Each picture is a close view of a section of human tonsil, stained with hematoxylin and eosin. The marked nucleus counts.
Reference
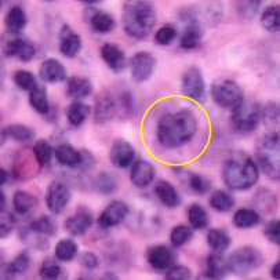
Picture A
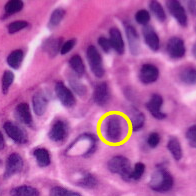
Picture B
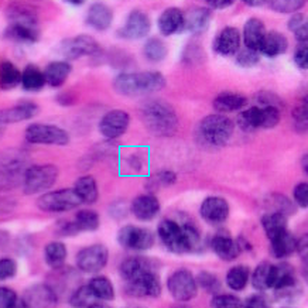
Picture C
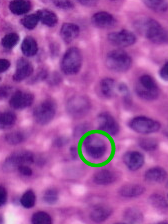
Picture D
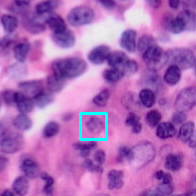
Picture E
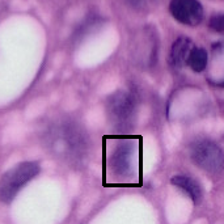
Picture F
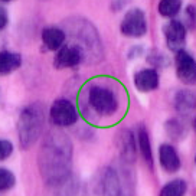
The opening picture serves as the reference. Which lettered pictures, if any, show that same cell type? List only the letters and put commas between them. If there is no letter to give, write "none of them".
none of them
